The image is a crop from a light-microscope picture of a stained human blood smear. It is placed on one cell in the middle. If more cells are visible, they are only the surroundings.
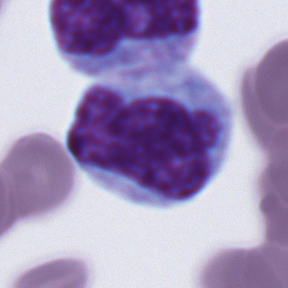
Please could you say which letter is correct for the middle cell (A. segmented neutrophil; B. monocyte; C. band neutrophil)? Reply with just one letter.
B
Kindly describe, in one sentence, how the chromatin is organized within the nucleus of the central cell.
Chromatin in the nucleus here is coarsely clumped.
